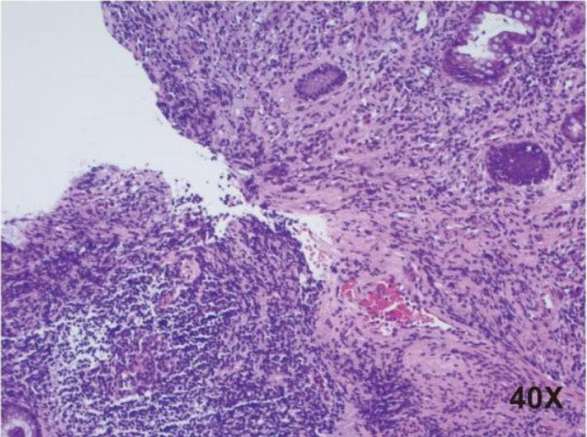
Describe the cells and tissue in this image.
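This is intestinal mucosa at low magnification, heavily infiltrated by inflammatory cells. The lower left is filled with a dense sheet of small, dark, round nuclei, while the rest of the field shows a cellular pink stroma with spindle-shaped cells. Only a few crypts remain, scattered and separated from one another, some seen in cross-section with dark epithelial nuclei. A small vessel with red blood cells lies near the centre, and the mucosal surface along the upper left is irregular.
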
